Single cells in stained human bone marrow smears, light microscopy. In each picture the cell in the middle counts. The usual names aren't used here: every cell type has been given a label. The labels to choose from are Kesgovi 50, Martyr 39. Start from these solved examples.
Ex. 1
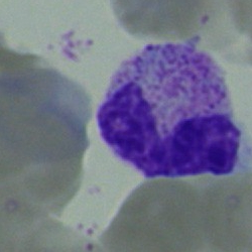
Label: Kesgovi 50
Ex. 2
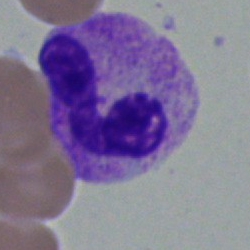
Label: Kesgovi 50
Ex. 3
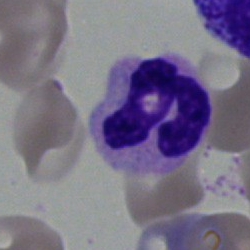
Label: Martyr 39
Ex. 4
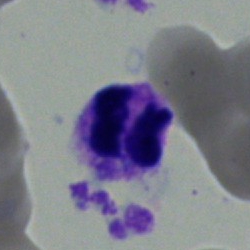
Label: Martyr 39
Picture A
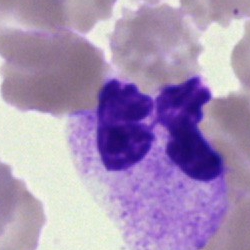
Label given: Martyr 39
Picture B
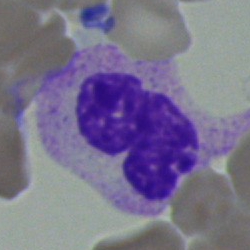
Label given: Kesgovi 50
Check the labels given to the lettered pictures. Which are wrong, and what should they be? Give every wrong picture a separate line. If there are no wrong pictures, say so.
All labels are correct.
